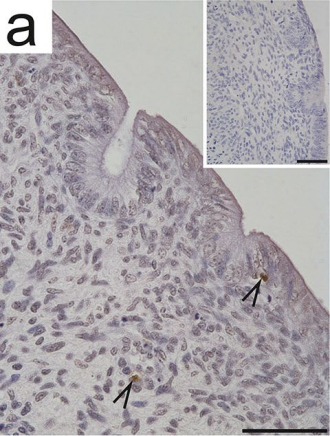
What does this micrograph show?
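Two isolated cells are marked by compact dark brown bodies, one close to the surface lining and one deeper in the loose tissue. All other nuclei are pale blue-grey, and the small inset shows the same kind of tissue without any brown labelling.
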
